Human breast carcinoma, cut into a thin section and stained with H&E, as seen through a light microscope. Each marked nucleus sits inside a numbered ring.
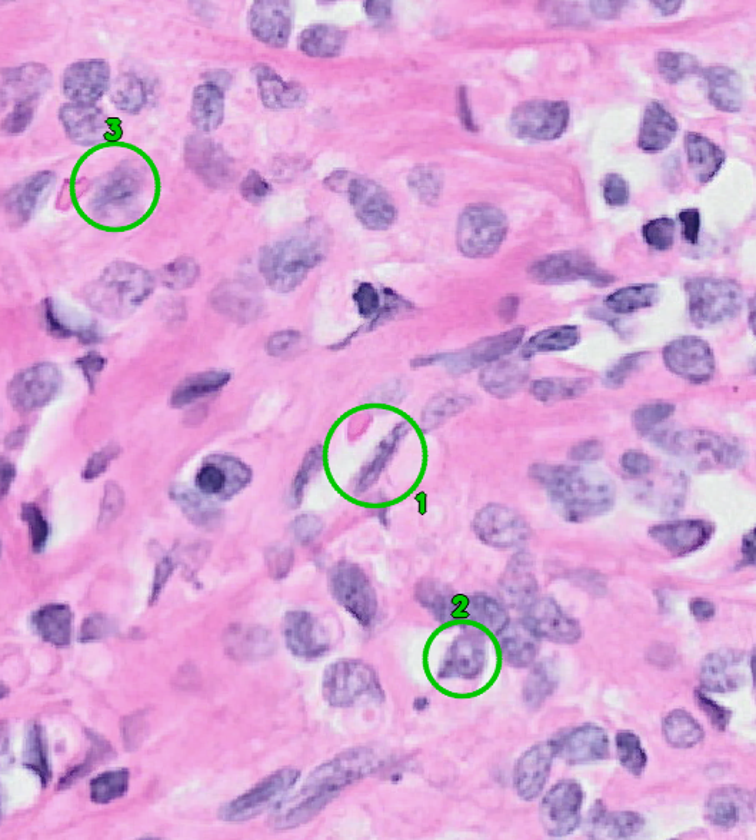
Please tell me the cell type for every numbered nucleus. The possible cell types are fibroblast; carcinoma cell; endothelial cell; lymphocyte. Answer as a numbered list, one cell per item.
1. endothelial cell
2. carcinoma cell
3. endothelial cell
